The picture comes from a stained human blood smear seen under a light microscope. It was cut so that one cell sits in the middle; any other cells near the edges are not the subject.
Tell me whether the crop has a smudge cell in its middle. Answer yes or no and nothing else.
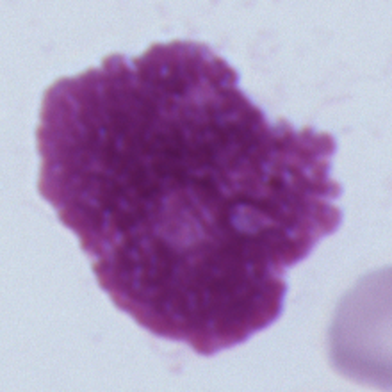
yes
